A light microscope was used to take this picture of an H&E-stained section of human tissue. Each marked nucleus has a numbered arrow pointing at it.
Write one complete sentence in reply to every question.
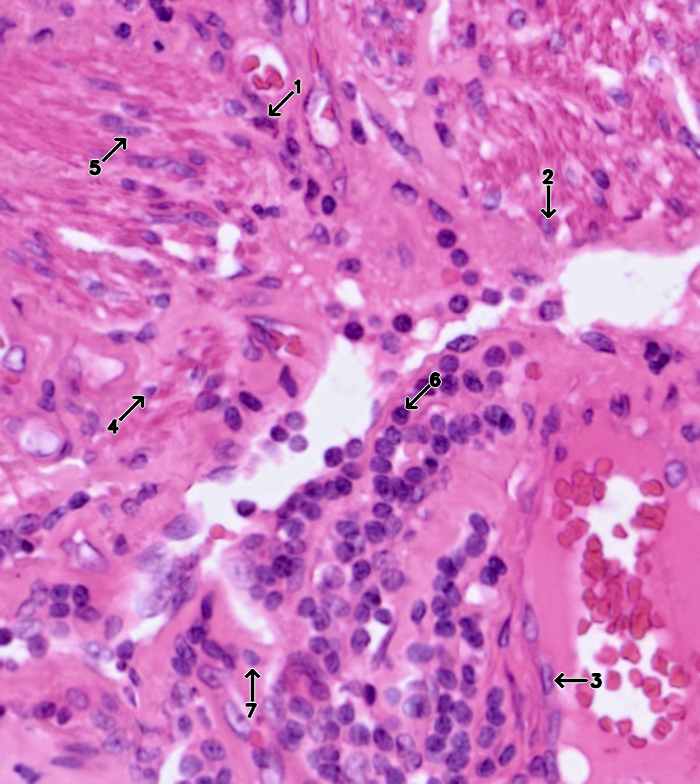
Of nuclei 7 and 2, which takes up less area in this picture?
Number 7 is smaller, since number 2 takes up about 1.5 times as much area.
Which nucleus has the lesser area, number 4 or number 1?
Number 4 is smaller, since number 1 takes up about 2 times as much area.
